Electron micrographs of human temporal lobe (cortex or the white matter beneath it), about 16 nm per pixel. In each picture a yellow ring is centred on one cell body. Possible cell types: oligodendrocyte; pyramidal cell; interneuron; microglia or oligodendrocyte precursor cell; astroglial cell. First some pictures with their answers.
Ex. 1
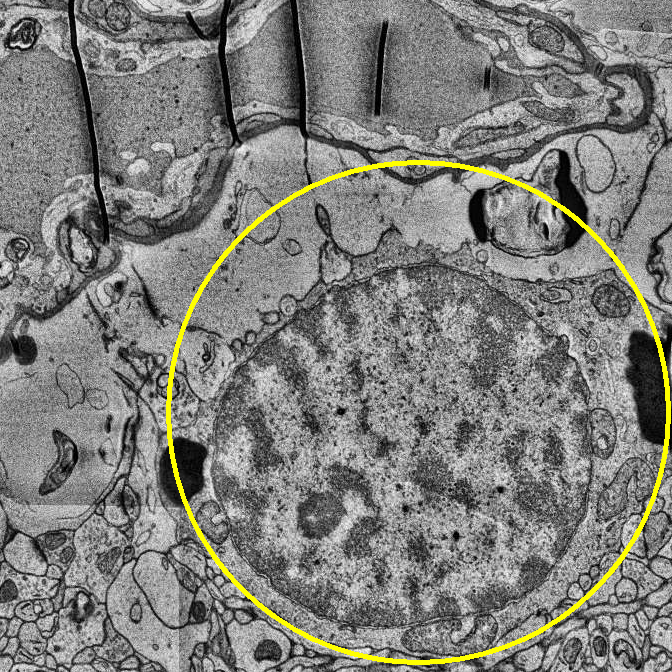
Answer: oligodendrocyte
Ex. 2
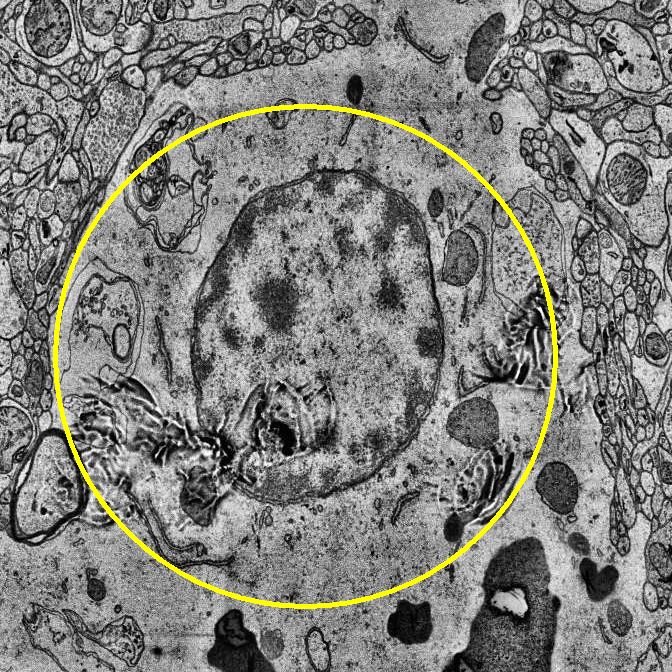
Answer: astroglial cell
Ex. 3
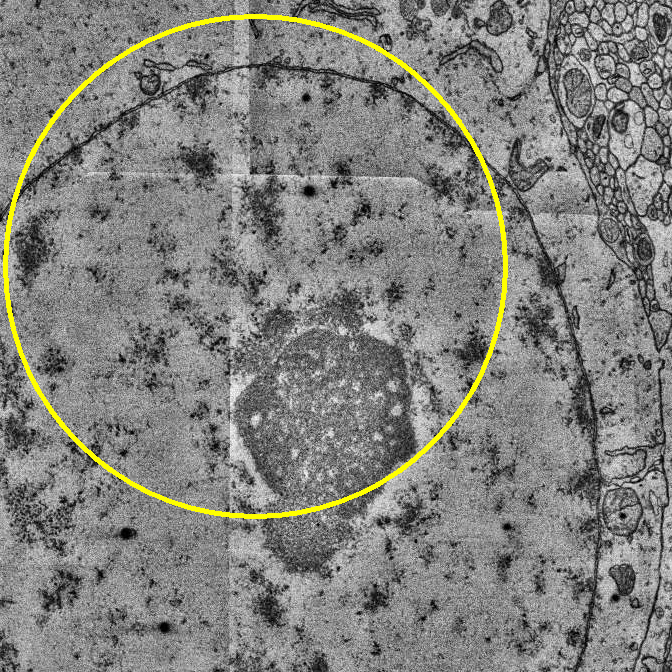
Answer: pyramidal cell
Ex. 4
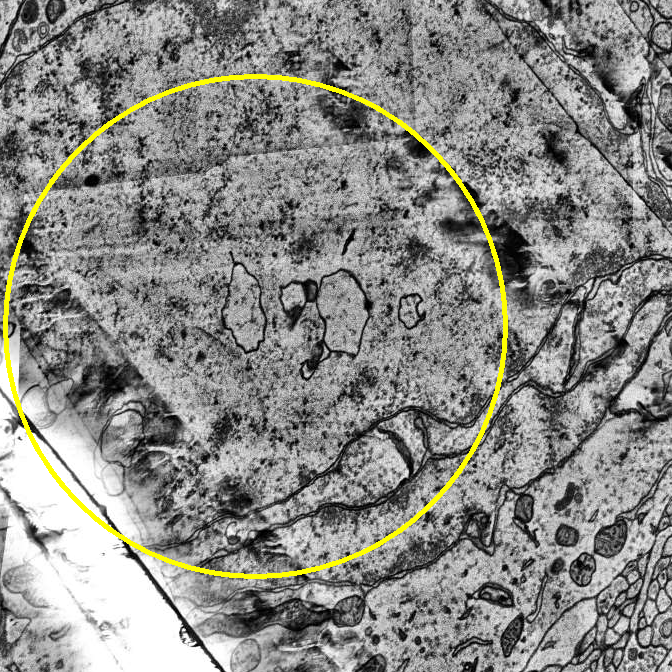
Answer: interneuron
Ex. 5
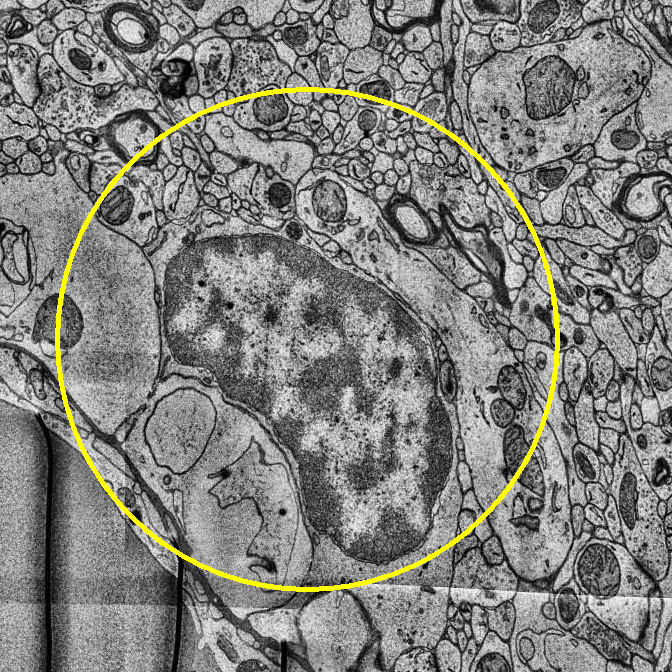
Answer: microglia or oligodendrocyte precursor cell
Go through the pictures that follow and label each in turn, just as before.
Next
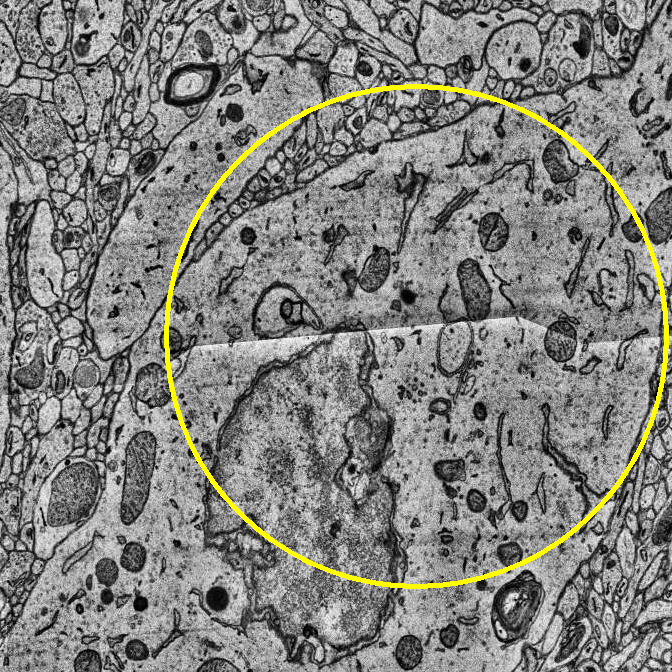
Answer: pyramidal cell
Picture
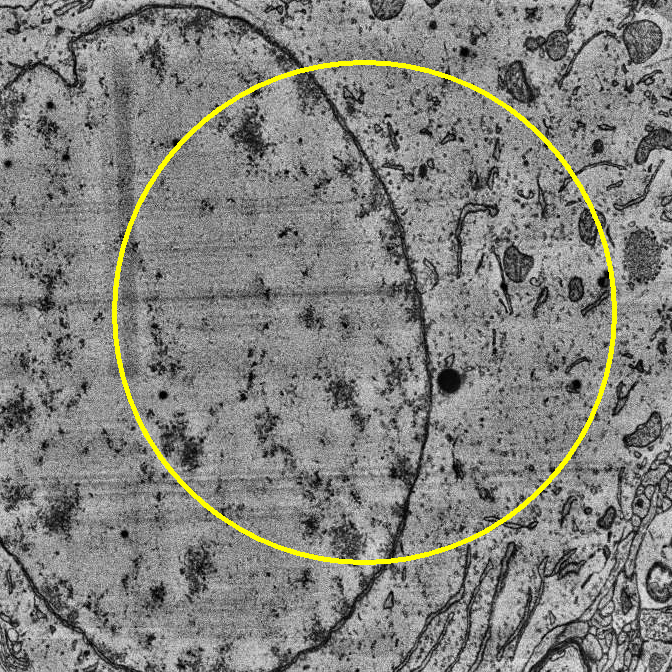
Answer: pyramidal cell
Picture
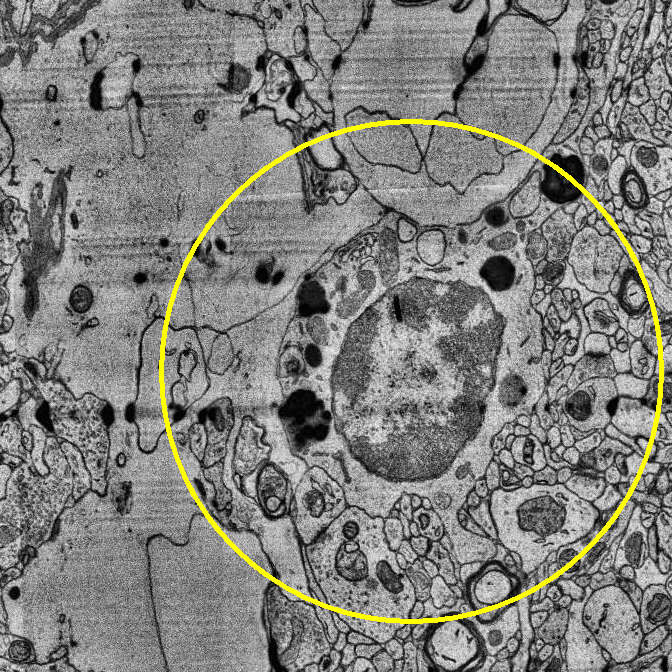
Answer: microglia or oligodendrocyte precursor cell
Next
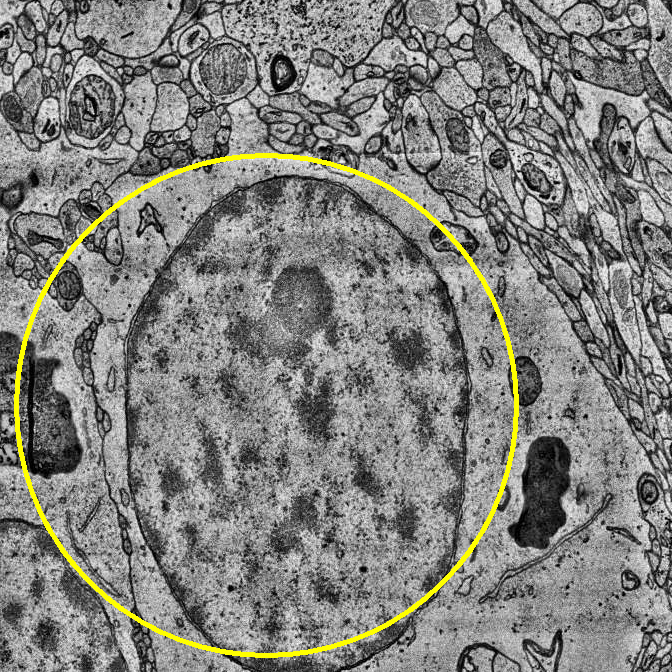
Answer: astroglial cell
